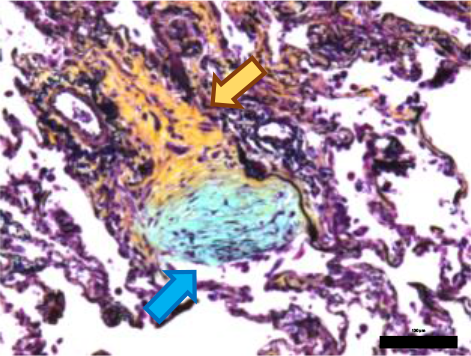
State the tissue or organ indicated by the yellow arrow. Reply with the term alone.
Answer: mature scar tissue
